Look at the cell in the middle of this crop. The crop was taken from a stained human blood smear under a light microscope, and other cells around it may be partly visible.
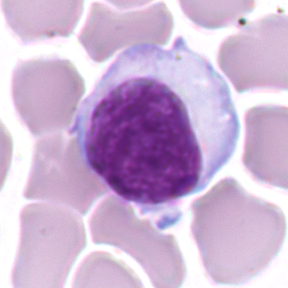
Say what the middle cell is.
plasma cell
